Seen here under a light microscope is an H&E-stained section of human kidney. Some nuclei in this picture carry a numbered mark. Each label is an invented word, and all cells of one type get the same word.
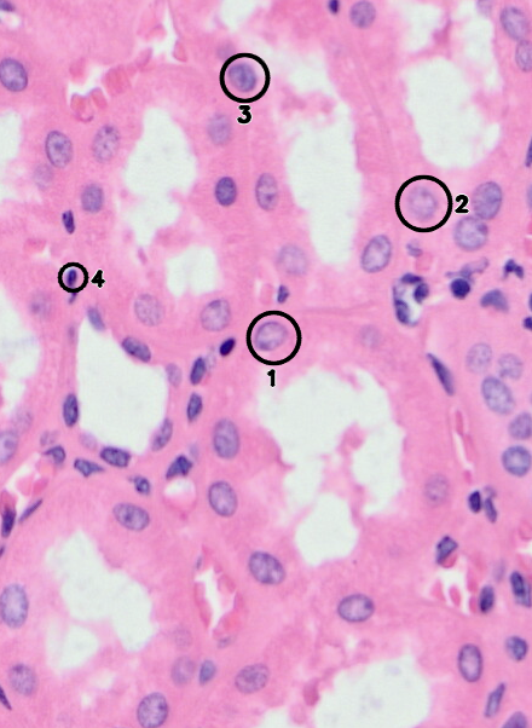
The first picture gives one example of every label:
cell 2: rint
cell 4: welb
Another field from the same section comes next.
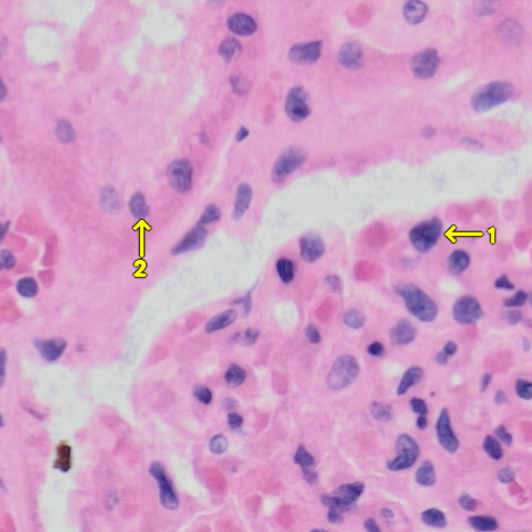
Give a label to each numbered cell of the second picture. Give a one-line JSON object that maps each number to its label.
{"1": "welb", "2": "rint"}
